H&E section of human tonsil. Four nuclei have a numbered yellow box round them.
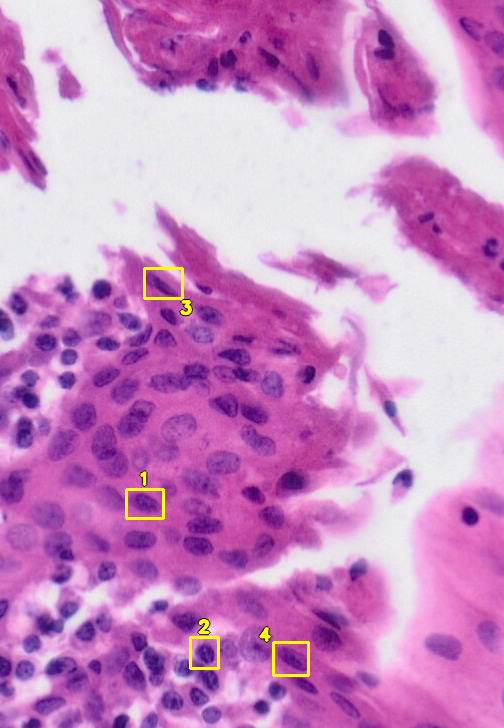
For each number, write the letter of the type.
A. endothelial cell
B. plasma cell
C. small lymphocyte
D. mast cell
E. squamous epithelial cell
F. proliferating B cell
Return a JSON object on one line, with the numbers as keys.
{"1": "E", "2": "B", "3": "E", "4": "E"}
